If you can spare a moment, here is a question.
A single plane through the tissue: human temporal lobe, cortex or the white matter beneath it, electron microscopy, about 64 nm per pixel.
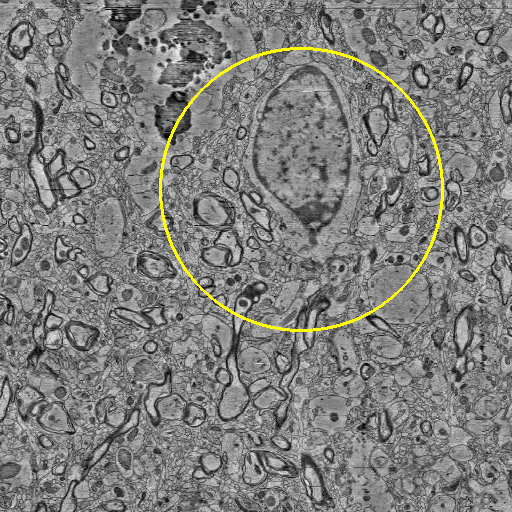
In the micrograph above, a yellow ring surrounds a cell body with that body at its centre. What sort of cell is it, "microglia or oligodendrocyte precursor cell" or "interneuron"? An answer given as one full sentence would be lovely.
Centred inside the yellow ring, the cell body shown belongs to a microglial cell or oligodendrocyte precursor cell in this micrograph.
